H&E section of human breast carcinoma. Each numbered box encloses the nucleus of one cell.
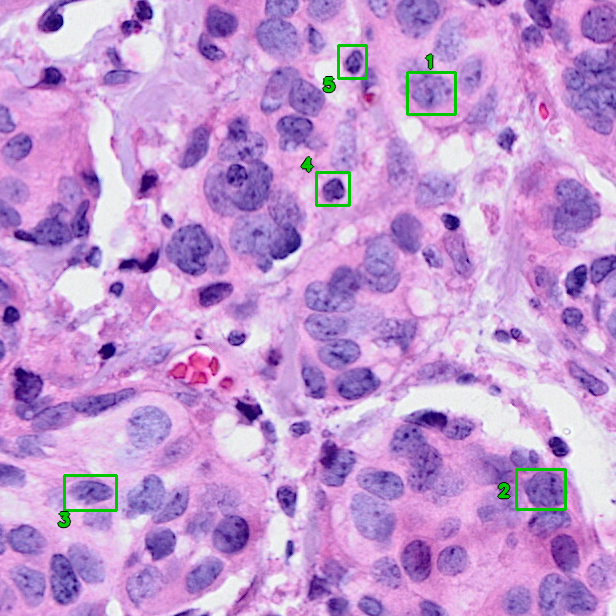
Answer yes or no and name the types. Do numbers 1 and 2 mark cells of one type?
Yes, cells 1 and 2 are two carcinoma cells.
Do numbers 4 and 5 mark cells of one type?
Yes, for cells 4 and 5 alike, the identity is that of lymphocytes.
